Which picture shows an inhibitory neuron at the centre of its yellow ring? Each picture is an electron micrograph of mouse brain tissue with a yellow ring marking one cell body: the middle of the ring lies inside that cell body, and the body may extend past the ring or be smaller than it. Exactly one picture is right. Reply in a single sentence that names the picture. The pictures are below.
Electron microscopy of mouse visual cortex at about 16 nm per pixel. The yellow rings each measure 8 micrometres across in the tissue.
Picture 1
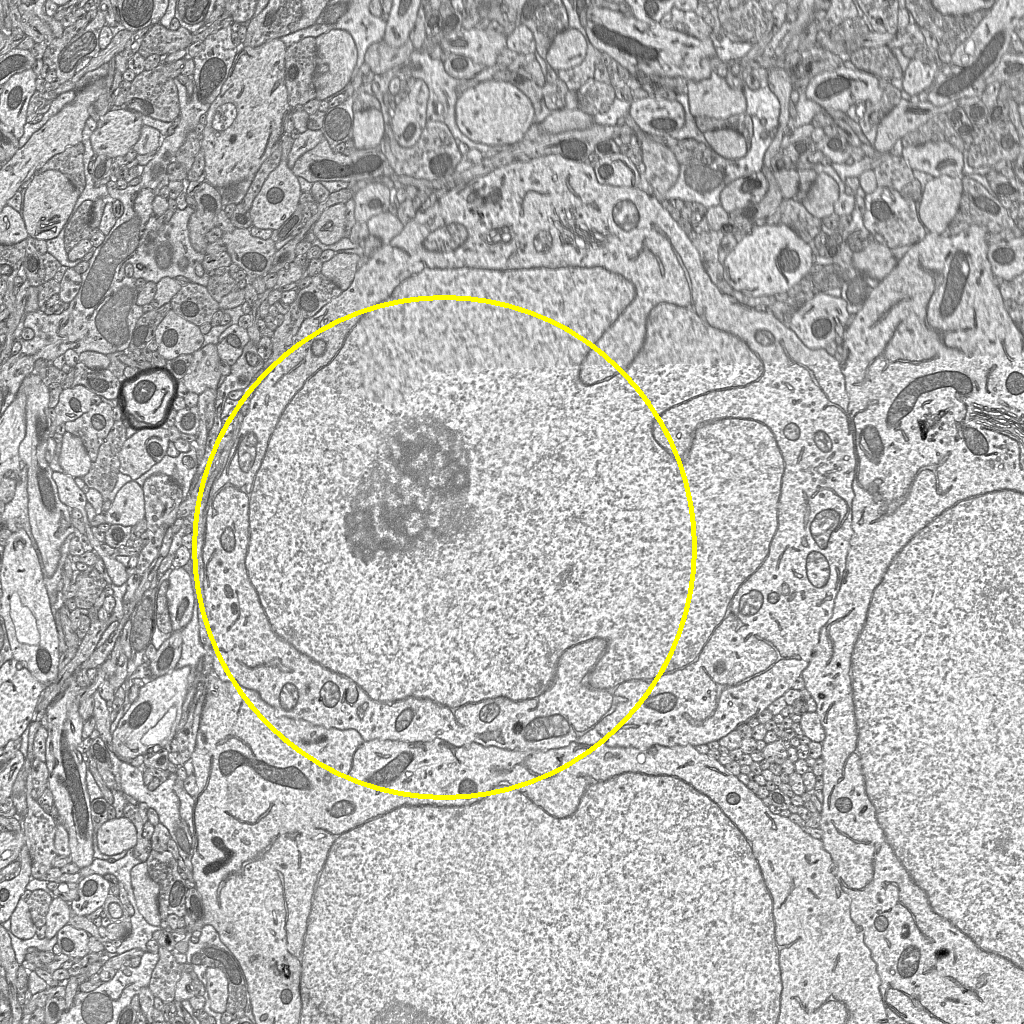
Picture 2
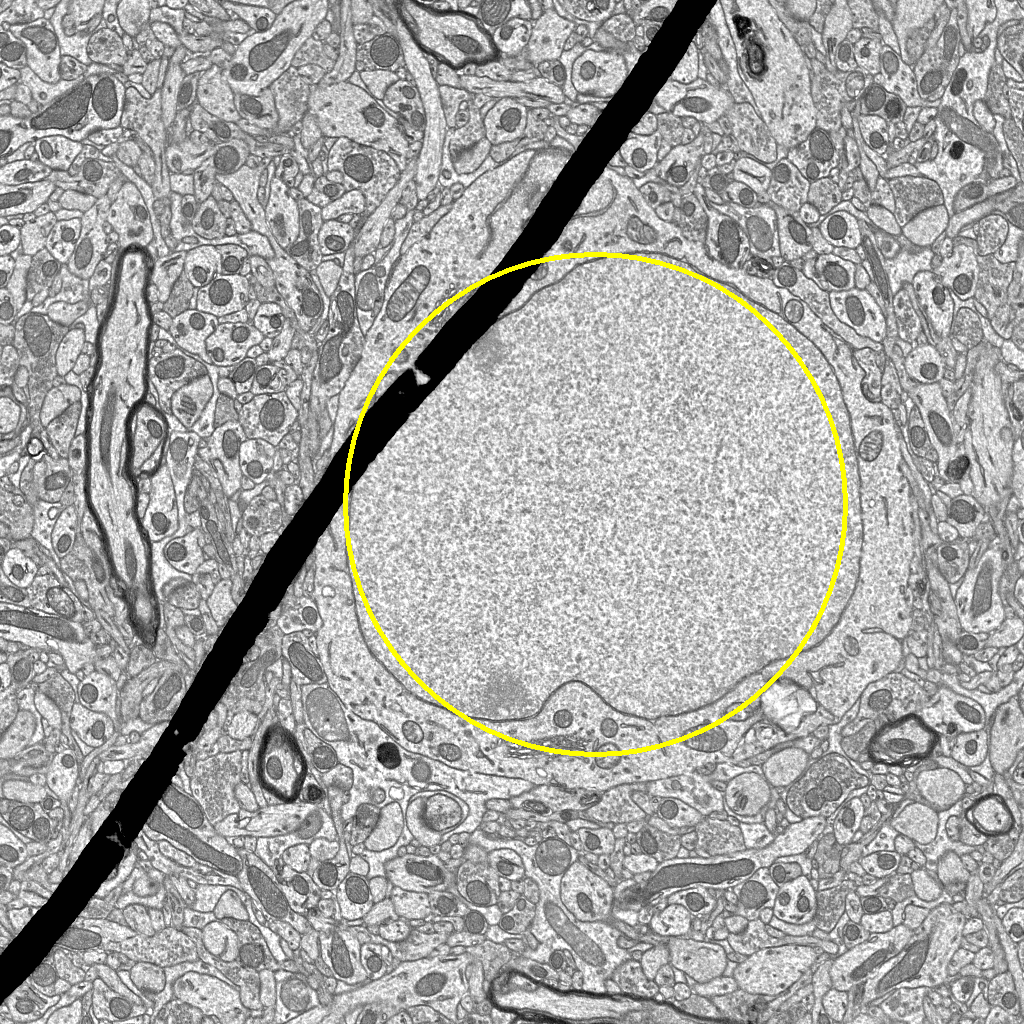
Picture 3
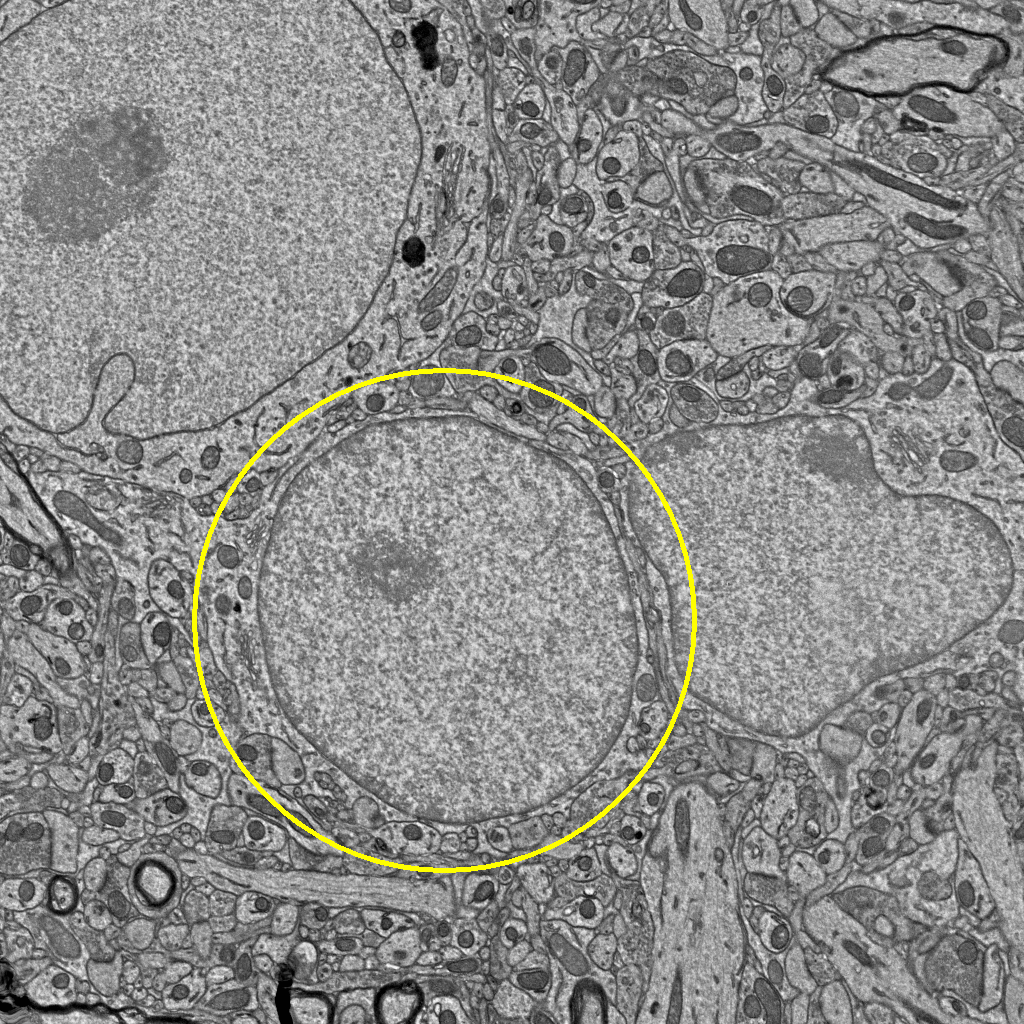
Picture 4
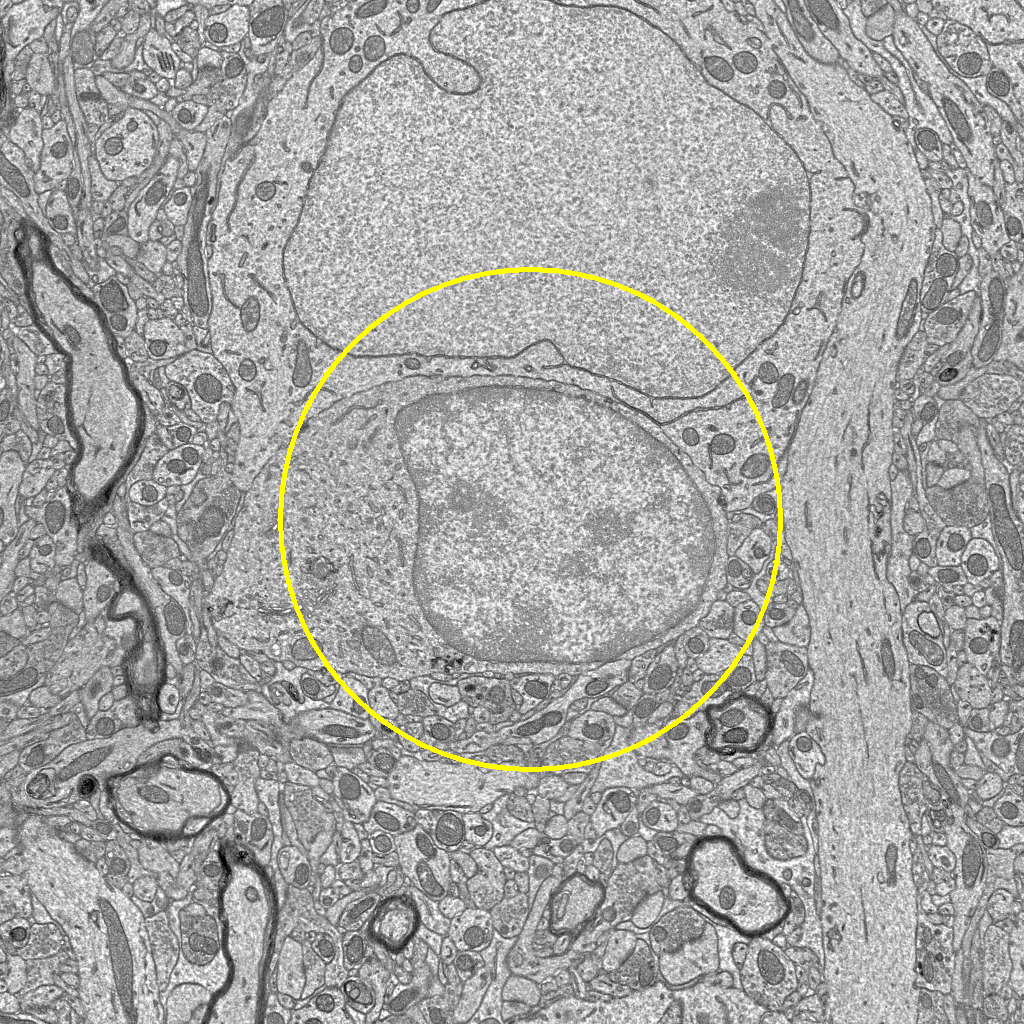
Picture 1 shows it.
